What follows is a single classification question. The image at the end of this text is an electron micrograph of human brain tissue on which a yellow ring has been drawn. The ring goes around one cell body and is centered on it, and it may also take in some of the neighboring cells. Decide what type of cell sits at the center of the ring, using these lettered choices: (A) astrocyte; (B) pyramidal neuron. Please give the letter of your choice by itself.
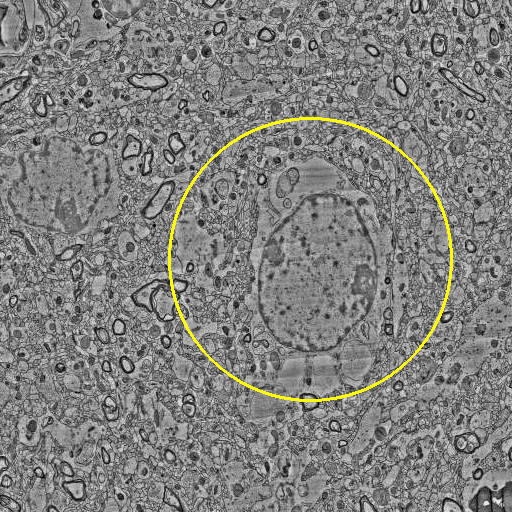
A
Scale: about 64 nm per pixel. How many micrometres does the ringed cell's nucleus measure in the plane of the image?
The nucleus has a long axis of about 10 micrometres and a short axis of about 8 micrometres in this plane.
